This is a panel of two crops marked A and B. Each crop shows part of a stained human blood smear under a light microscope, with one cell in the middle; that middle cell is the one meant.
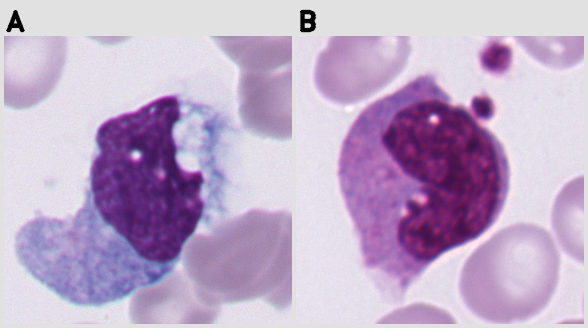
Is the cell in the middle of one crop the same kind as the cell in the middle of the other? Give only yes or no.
yes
